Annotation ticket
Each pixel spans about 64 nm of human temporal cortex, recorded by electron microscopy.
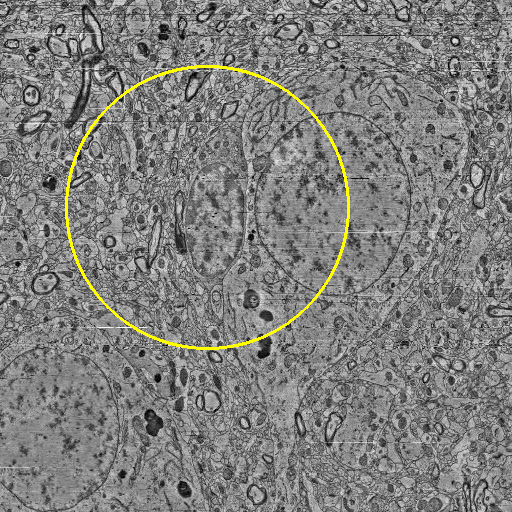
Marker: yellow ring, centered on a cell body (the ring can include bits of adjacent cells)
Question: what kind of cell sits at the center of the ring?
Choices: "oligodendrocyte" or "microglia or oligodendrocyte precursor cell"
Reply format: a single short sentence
The ring is centered on an oligodendrocyte.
